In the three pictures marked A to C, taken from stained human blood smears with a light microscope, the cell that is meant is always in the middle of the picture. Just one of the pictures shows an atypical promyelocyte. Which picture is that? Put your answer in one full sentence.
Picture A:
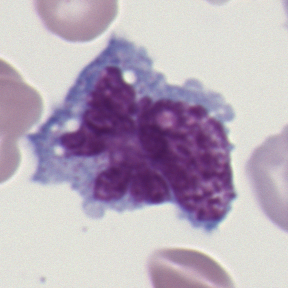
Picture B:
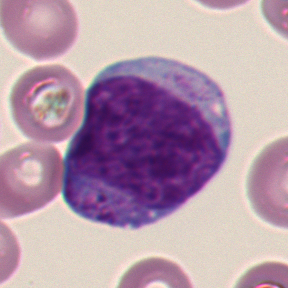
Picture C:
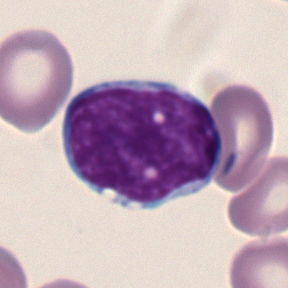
The picture with the atypical promyelocyte is B.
